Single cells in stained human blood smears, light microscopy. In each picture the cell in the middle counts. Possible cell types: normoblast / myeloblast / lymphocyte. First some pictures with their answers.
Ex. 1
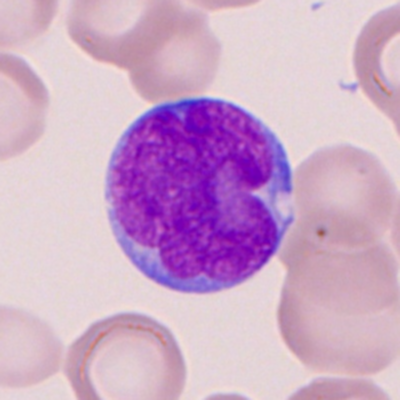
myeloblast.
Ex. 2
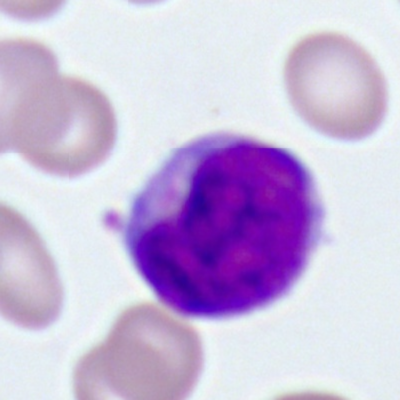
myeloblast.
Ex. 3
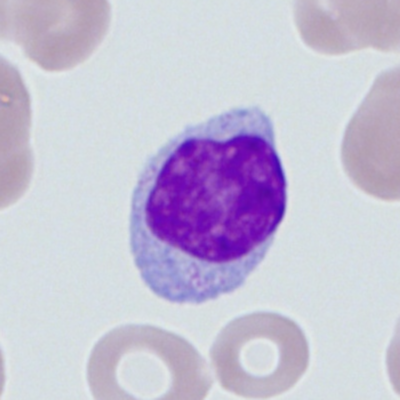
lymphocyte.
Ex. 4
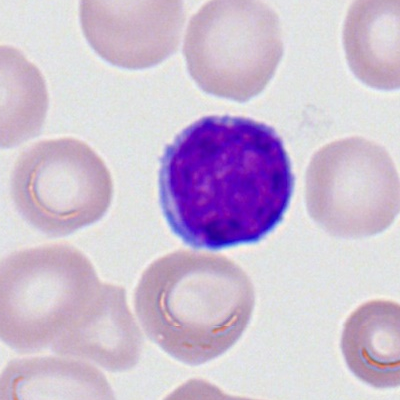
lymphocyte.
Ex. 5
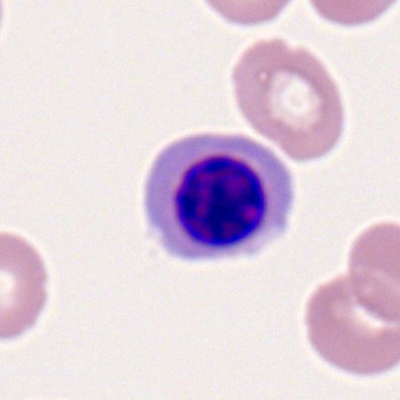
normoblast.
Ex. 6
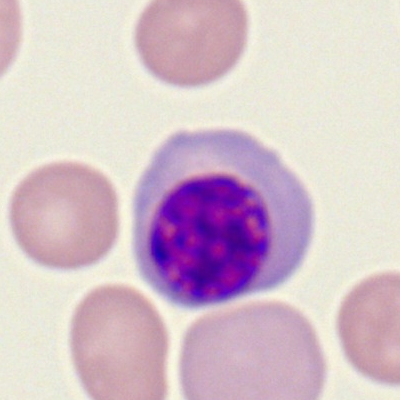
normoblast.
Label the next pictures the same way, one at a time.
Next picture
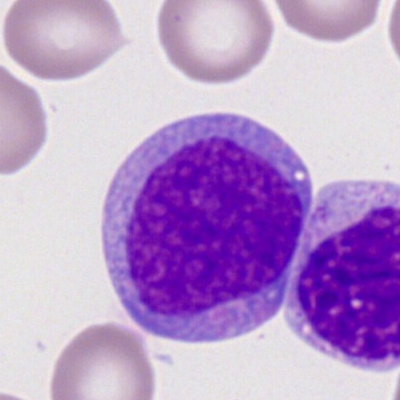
myeloblast.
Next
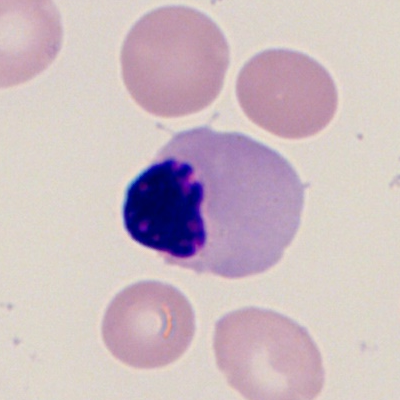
normoblast.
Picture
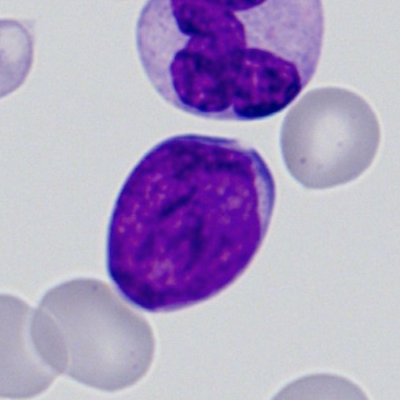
myeloblast.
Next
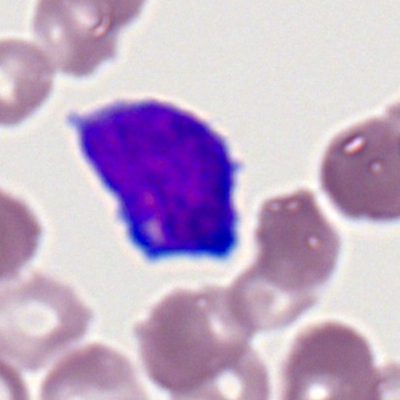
myeloblast.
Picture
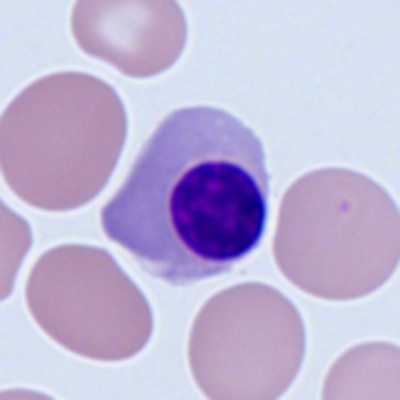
normoblast.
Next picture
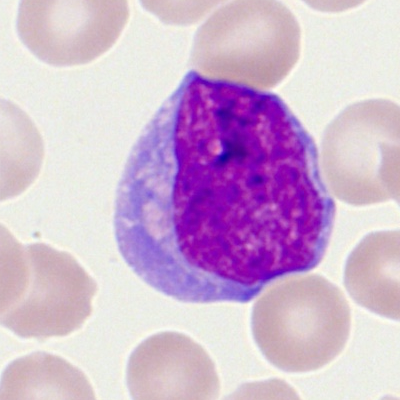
myeloblast.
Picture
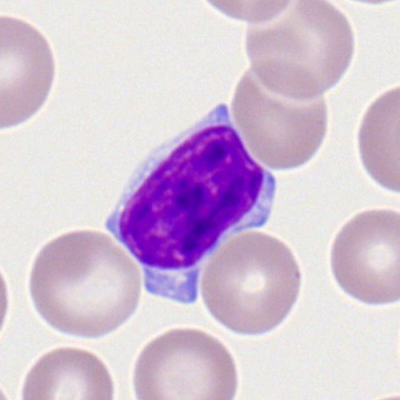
lymphocyte.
